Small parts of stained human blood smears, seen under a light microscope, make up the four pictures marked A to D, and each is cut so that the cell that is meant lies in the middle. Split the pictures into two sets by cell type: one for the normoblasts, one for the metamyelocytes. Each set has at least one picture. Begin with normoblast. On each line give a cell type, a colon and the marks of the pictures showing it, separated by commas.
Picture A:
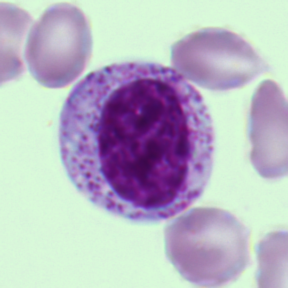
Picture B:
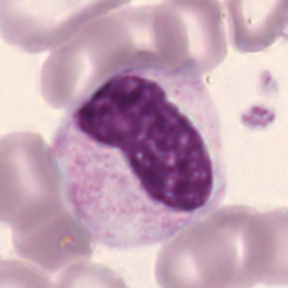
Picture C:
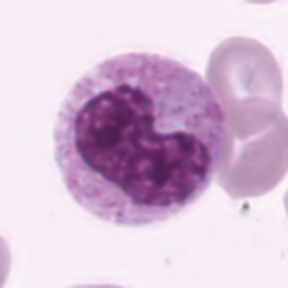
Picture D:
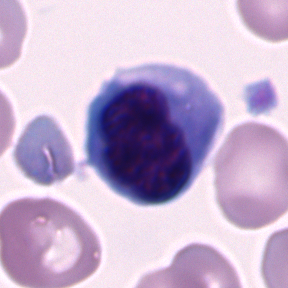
normoblast: D
metamyelocyte: A, B, C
